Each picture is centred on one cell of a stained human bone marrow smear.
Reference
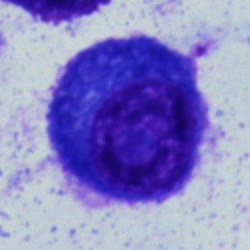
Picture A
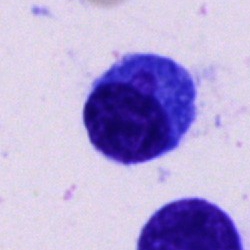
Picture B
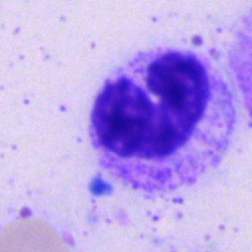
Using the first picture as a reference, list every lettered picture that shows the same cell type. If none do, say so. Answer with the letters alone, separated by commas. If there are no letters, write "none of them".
A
